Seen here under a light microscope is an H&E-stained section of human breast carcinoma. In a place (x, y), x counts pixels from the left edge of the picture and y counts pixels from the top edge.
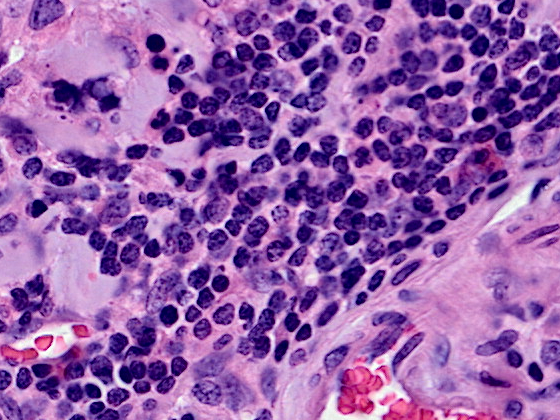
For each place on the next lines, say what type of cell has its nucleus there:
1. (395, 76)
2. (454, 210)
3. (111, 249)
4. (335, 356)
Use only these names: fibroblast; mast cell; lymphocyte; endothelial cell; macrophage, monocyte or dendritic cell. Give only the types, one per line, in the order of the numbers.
lymphocyte
lymphocyte
lymphocyte
endothelial cell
